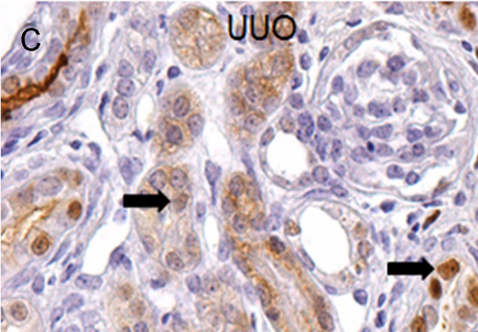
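Kidney cortex with a glomerulus and surrounding tubules, many of whose epithelial cells are stained brown. The brown colour fills the cytoplasm of tubule cells diffusely, and several nuclei are themselves deep brown, while others remain blue. The tubules are small and irregular, some with widened empty lumens, and the epithelium varies in height. The glomerulus on the right shows a tuft of tightly packed blue nuclei inside a clear space and capsule, with little brown colour.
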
